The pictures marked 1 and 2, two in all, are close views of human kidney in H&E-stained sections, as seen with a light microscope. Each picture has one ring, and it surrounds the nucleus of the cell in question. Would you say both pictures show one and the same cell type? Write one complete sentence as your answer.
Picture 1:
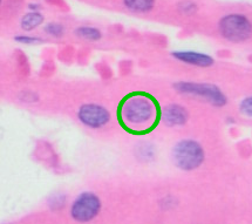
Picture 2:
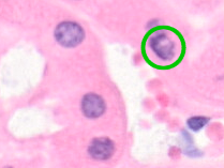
No, picture 1 shows a “loop of Henle or distal tubule cell” and picture 2 shows a proximal tubule cell.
